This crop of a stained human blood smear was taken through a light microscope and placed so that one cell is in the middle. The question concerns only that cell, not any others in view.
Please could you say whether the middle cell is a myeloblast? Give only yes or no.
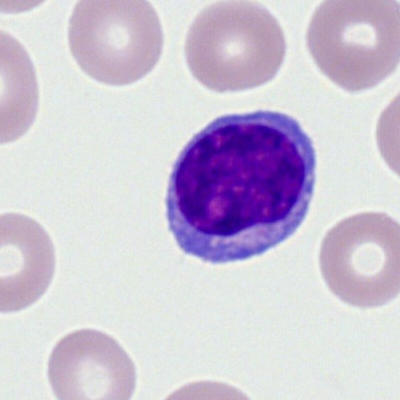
no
